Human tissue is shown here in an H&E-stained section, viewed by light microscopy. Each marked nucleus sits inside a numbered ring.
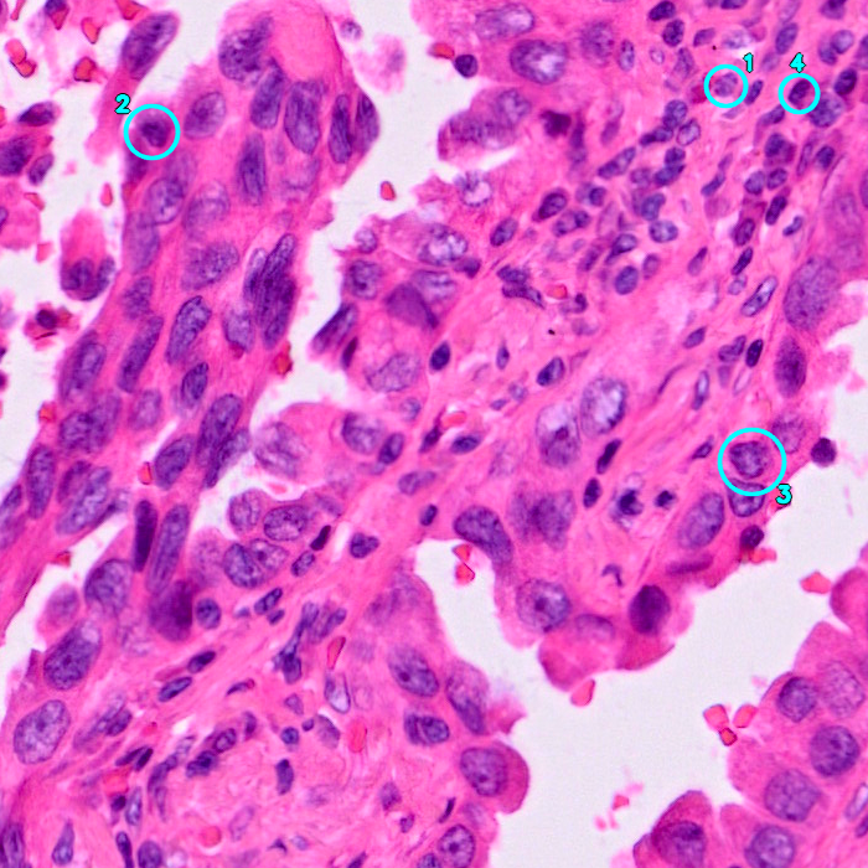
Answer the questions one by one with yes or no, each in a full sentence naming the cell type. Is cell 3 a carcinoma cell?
Yes, the cell with its nucleus marked 3 is a carcinoma cell.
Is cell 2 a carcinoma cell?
Yes, cell number 2 is classified as a carcinoma cell.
